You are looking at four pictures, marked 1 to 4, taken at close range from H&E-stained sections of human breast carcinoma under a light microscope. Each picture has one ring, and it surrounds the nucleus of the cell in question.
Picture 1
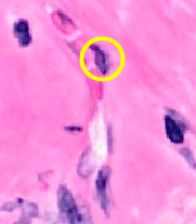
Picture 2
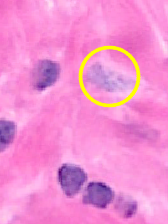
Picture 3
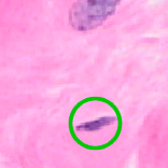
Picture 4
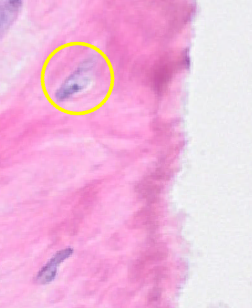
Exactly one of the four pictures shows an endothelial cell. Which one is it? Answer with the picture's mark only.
1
